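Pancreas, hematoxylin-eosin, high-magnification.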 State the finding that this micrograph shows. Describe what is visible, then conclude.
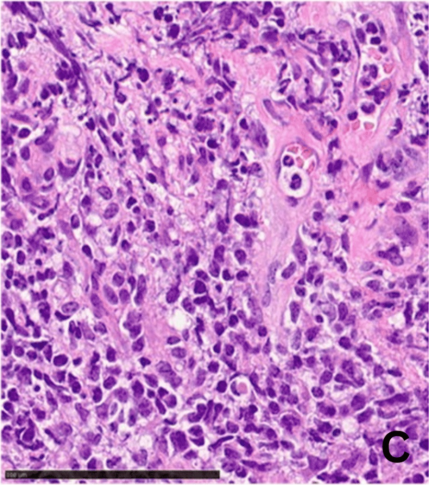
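Sheets of densely packed cells with scant cytoplasm. Nuclei are enlarged, irregular and dark. Normal glandular structures are replaced by the cell sheet. So: Proliferation of atypical lymphocytes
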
